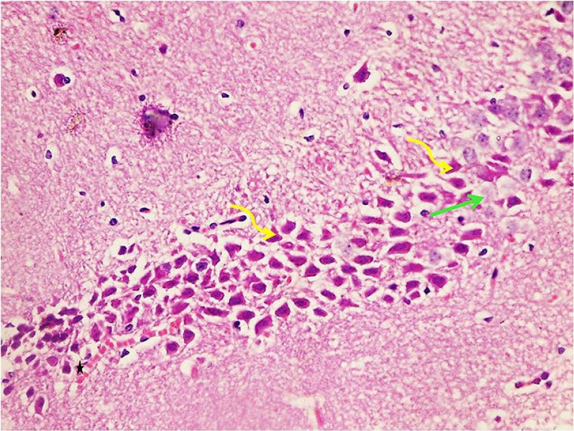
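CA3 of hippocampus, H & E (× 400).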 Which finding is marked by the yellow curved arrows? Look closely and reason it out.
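Many cells in the band are shrunken, angular and deep purple. Their nuclei are small and dark with no visible nucleolus. Clear spaces surround many of the shrunken cells.
Answer: pyknotic nuclei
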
